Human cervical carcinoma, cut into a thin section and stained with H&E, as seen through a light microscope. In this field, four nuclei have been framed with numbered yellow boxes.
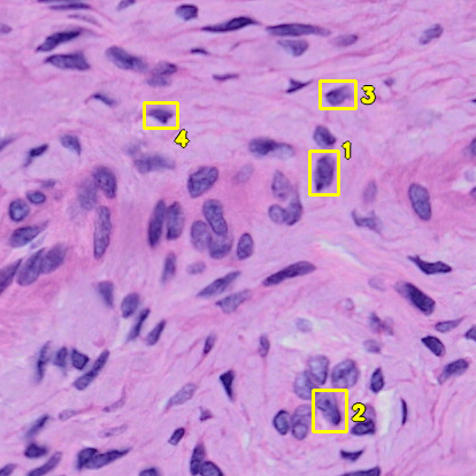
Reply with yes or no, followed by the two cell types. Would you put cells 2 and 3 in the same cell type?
No, cell 2 is an endothelial cell whereas cell 3 is a fibroblast.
